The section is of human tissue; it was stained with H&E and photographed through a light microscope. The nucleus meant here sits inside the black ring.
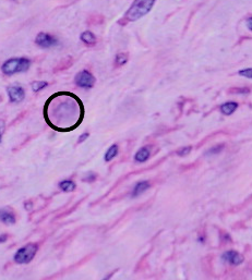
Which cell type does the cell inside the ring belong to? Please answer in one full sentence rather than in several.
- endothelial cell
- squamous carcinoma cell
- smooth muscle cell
In this field of tissue, the cell inside the ring is a smooth muscle cell.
